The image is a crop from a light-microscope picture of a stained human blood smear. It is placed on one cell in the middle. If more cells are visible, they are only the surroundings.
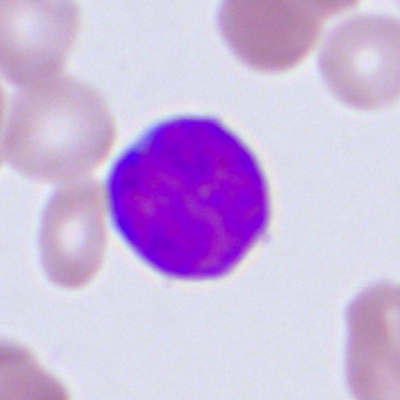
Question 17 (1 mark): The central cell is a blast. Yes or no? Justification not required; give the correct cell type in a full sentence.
Yes, a blast is present in the middle of the crop.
